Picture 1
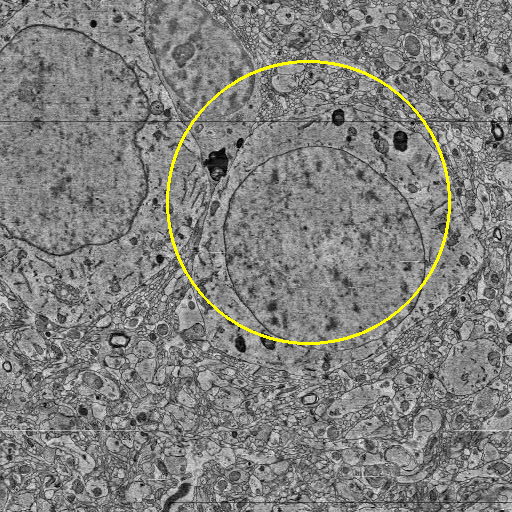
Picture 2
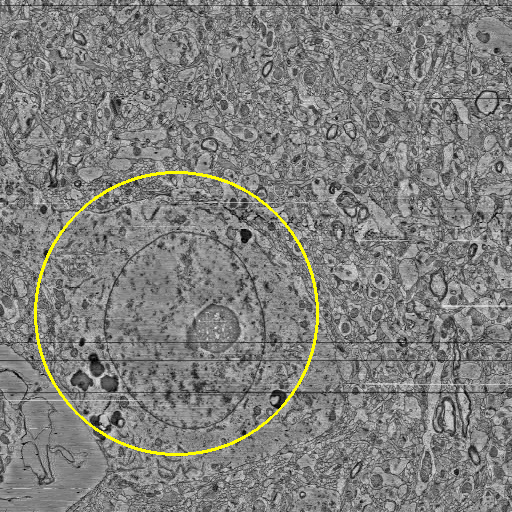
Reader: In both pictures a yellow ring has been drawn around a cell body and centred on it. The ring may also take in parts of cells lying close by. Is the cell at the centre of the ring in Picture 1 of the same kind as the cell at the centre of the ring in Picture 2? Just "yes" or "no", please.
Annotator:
yes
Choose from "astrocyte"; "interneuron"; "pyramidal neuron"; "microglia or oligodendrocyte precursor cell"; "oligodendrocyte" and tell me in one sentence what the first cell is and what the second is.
Each of the two cells is a pyramidal neuron.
